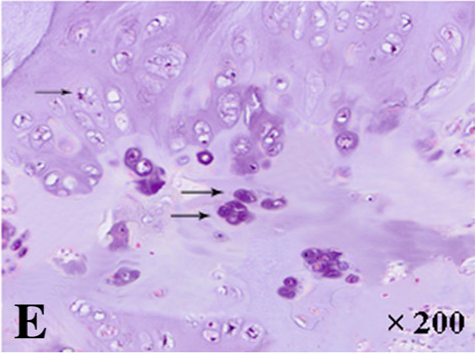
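Cartilaginous lesion of hyaline-type matrix, pale lilac, densely packed with chondrocytes sitting in clear lacunae. Many lacunae hold two or more cells, and cells lie close together, giving a crowded appearance. In the lower centre a group of cells have enlarged, deeply purple, irregular nuclei, some with several nuclear lobes or multiple nuclei. Elsewhere the nuclei are smaller and rounder, sitting in cleared cytoplasm within the lacunae.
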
